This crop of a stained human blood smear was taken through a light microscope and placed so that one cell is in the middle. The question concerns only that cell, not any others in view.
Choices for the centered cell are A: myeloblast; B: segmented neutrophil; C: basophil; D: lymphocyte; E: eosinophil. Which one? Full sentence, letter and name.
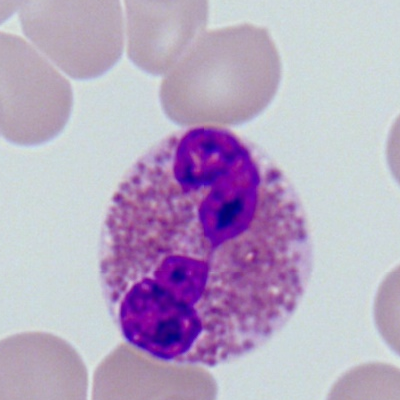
The correct option, E, names the middle cell as an eosinophil.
